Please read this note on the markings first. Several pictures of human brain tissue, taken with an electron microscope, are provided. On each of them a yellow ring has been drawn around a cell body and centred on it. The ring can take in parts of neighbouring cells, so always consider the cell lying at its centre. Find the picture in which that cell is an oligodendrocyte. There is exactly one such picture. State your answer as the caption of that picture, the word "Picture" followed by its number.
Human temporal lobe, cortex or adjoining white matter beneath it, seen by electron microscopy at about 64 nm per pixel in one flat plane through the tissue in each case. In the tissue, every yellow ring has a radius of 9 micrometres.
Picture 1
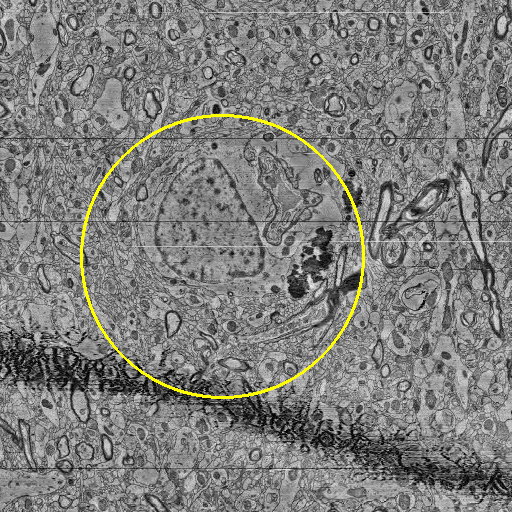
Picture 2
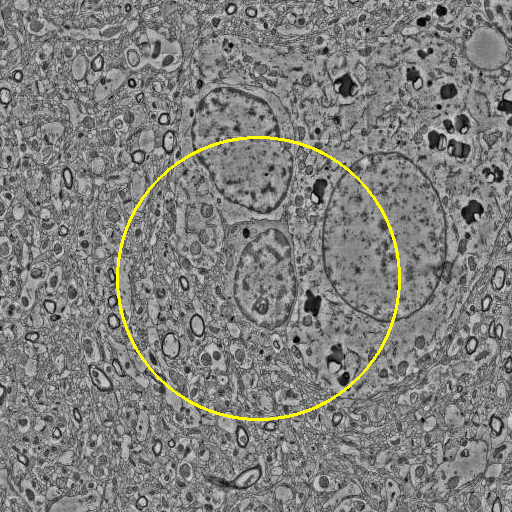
Picture 2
